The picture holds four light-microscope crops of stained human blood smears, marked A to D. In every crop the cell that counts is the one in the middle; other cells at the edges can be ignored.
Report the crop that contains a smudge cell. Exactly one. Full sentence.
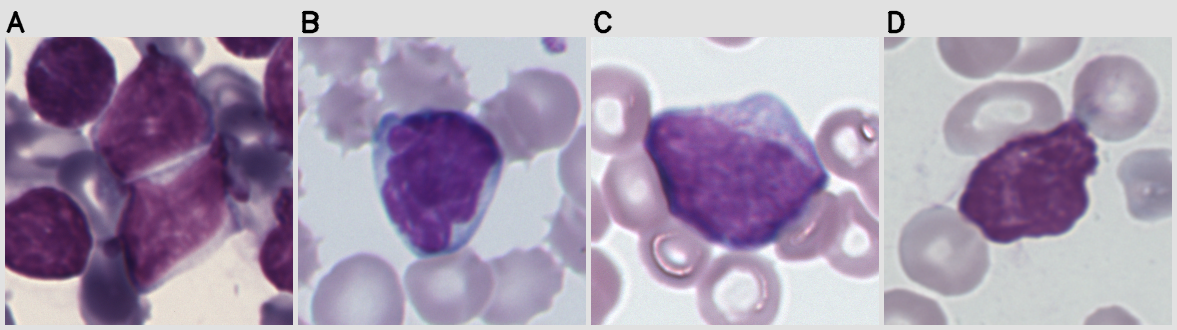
As for which crop shows a smudge cell, it is crop D.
